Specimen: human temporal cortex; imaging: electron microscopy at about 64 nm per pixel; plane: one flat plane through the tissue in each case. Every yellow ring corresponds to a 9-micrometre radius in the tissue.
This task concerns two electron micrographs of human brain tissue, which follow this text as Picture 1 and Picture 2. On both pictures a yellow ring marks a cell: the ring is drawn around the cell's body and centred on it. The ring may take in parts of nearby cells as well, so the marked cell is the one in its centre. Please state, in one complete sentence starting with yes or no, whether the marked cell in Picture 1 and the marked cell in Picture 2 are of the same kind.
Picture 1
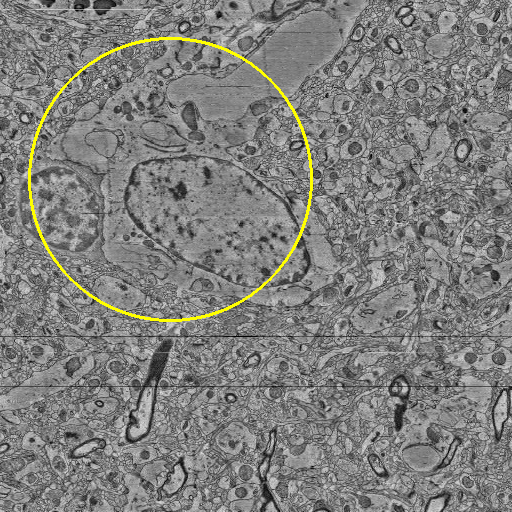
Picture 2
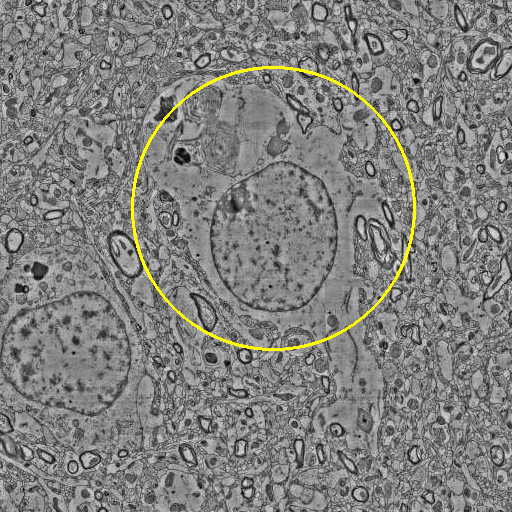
Yes, the marked cells in both pictures are of the same kind.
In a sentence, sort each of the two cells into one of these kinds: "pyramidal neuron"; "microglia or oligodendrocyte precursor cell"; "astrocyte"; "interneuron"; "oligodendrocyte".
The ring centre holds an astrocyte in each of the two pictures.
